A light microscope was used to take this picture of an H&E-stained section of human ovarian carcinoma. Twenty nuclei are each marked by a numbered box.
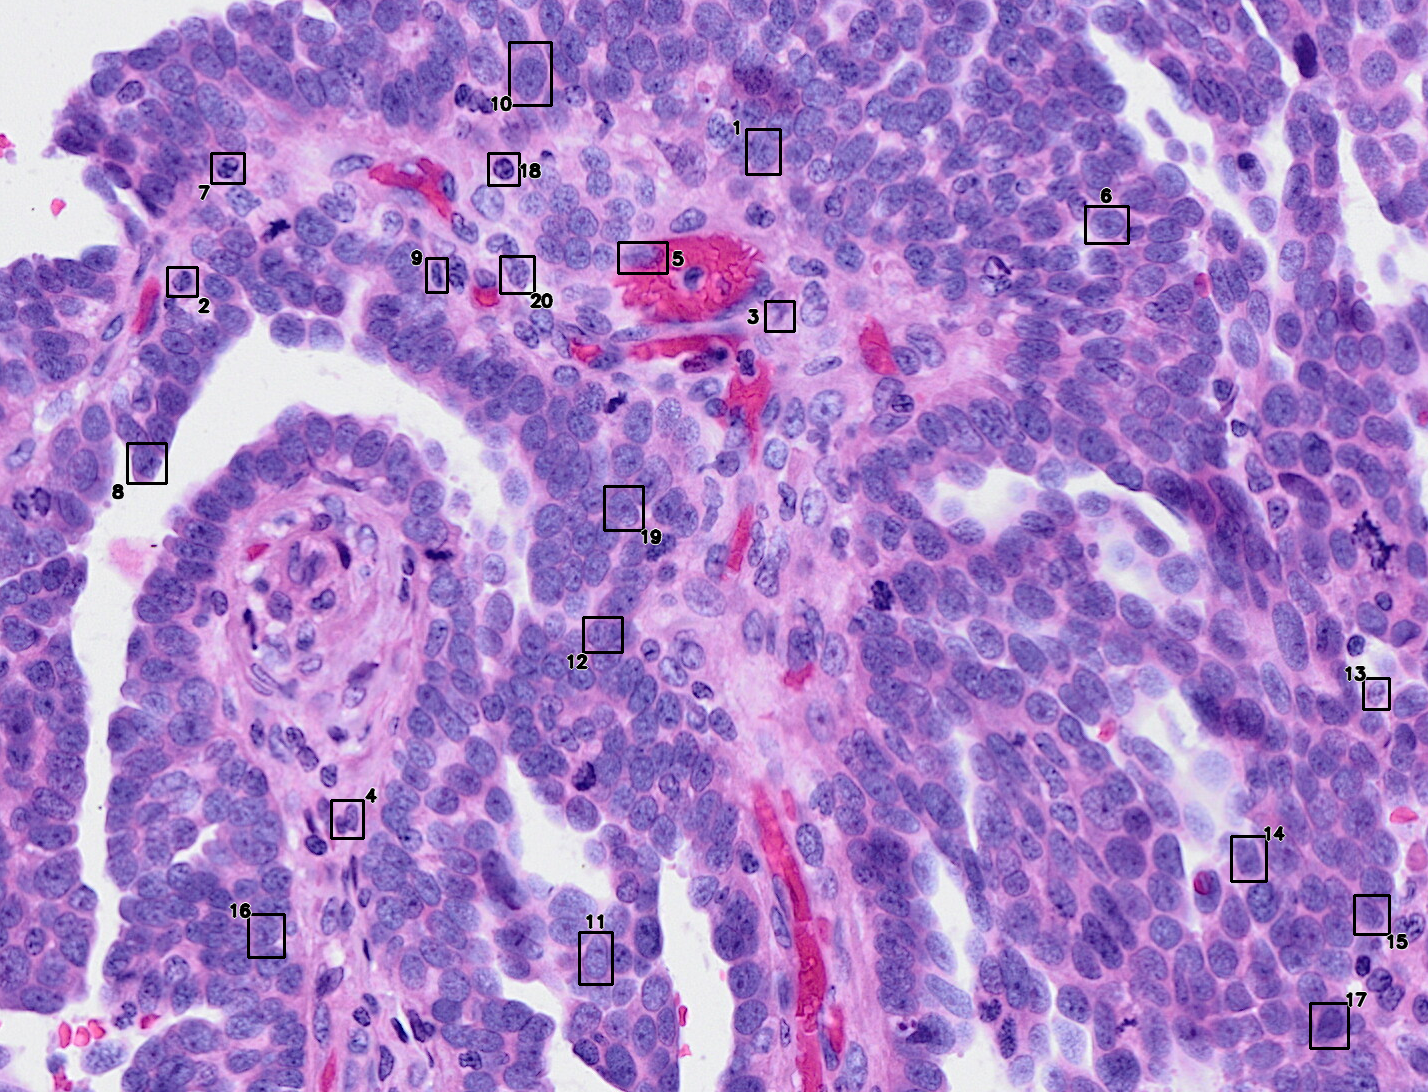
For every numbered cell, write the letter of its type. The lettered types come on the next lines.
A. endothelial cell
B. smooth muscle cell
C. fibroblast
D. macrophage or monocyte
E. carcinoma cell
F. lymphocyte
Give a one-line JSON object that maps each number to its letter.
{"1": "E", "2": "F", "3": "C", "4": "D", "5": "A", "6": "E", "7": "F", "8": "E", "9": "F", "10": "E", "11": "E", "12": "E", "13": "D", "14": "E", "15": "E", "16": "E", "17": "E", "18": "F", "19": "E", "20": "D"}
